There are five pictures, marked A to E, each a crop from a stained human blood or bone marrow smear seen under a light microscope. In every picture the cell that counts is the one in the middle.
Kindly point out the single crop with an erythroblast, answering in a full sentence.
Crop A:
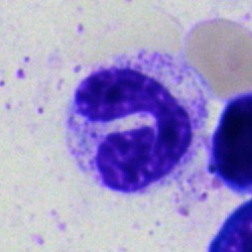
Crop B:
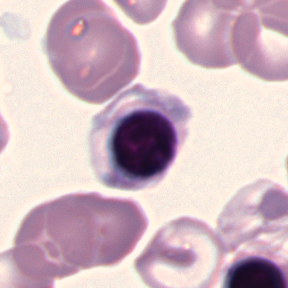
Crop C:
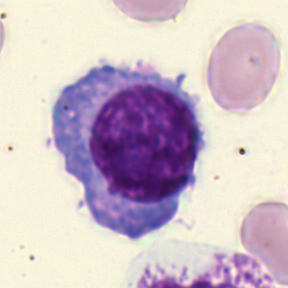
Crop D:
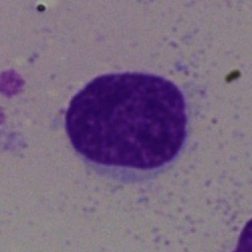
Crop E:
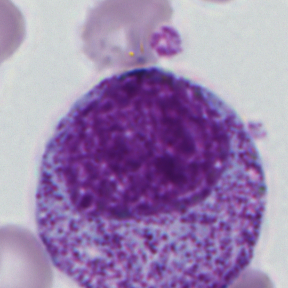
Among the crops provided, an erythroblast occupies the center of crop B.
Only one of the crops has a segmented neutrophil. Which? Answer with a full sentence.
In the set of crops, crop A is the one that contains a segmented neutrophil.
